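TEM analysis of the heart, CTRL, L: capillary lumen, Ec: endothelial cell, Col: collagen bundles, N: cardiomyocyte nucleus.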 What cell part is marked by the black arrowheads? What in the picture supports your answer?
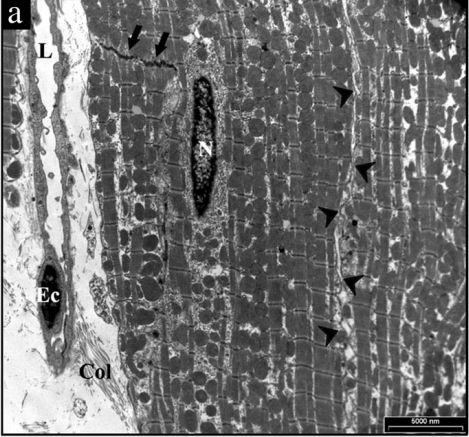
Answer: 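The arrowheads line up along a thin longitudinal membrane boundary between bundles of myofibrils. The boundary runs parallel to the long axis of the muscle fibres.
Hence: sarcolemma.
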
